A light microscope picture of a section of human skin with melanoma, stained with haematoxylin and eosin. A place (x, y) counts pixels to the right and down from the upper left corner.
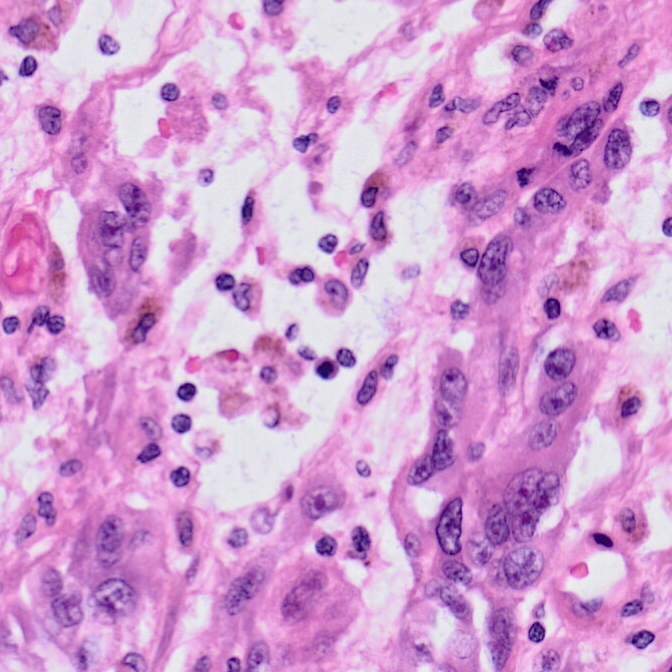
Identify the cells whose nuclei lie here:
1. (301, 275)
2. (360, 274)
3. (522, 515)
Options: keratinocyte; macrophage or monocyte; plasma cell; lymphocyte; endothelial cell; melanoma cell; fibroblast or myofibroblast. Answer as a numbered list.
1. macrophage or monocyte
2. macrophage or monocyte
3. melanoma cell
